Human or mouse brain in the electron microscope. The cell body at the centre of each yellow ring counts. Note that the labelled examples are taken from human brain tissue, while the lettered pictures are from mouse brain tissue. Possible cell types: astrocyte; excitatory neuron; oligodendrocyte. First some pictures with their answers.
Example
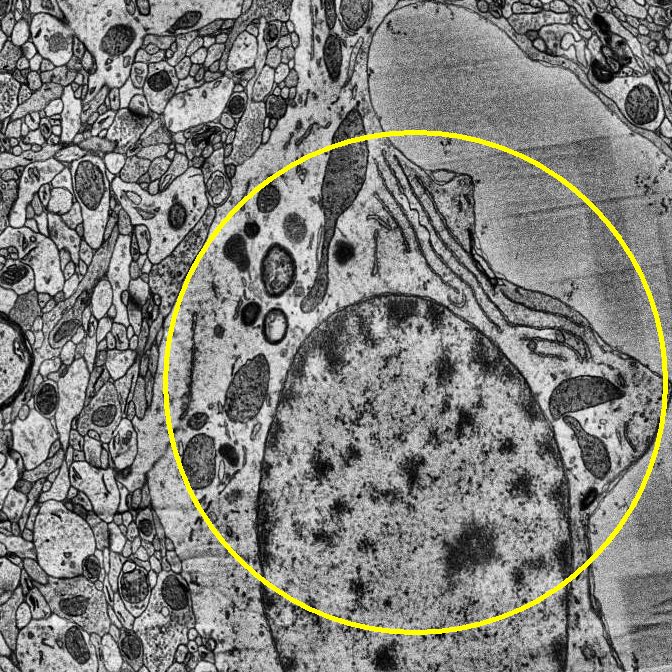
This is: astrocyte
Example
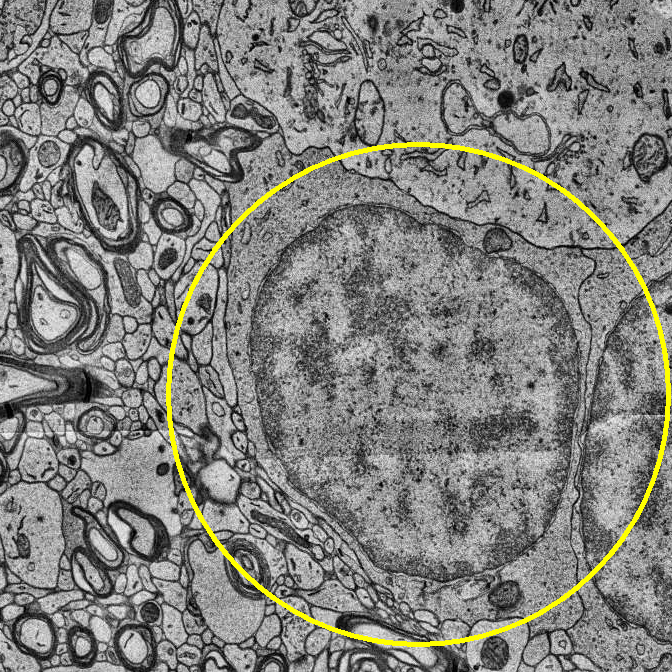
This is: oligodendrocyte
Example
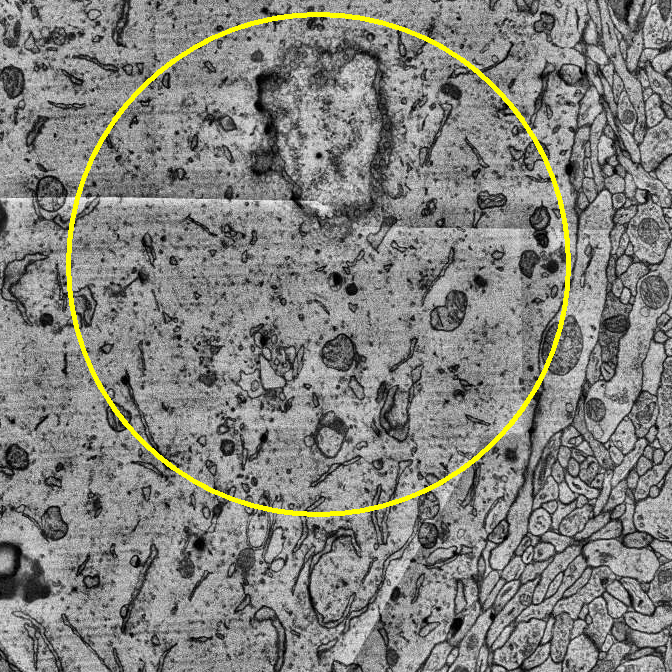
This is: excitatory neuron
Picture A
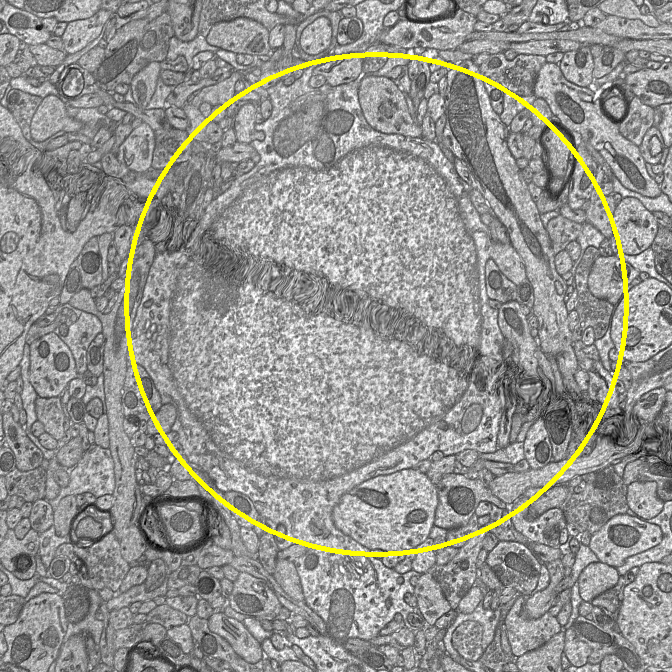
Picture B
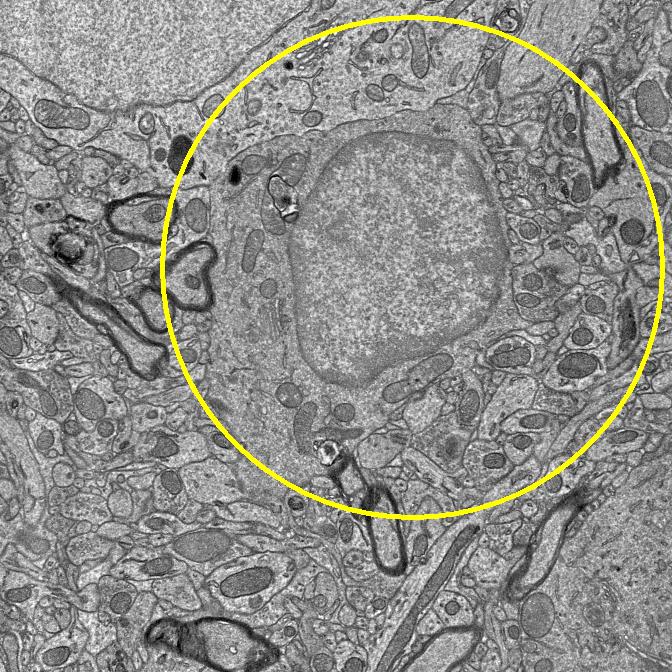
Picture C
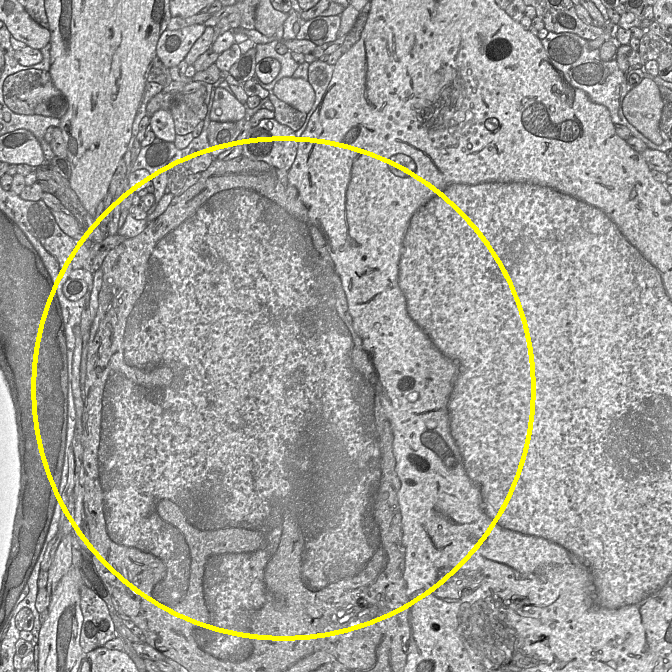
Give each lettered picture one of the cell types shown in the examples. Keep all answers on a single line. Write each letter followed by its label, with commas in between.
A astrocyte, B oligodendrocyte, C oligodendrocyte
